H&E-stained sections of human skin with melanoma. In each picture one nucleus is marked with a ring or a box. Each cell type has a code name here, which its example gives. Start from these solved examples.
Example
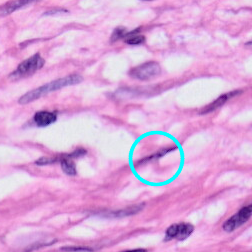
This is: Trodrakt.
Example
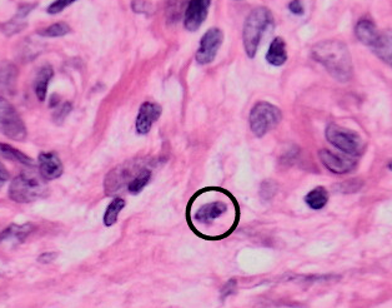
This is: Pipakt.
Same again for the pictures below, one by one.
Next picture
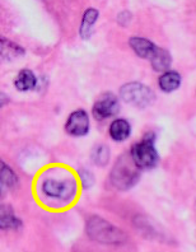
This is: Pipakt.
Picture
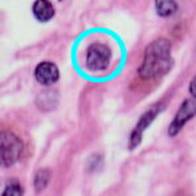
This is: Pipakt.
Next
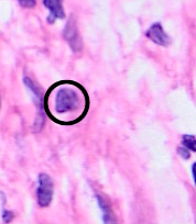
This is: Pipakt.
